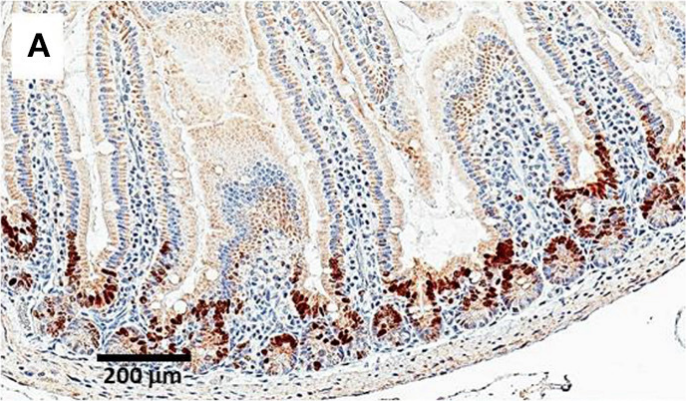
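This is a section of small intestine with its villi, the finger-like projections covered by a single row of tall columnar epithelial cells whose oval blue nuclei line up near the base of each cell. The cores of the villi hold looser tissue with scattered nuclei. At the bottom of the villi lie the crypts, small round glands seen in cross-section, and here many nuclei are stained a dark brown rather than blue. These brown nuclei are crowded along the crypts and the lowest part of the villi, while the upper villi show only blue nuclei. Beneath the crypts runs a thin band of muscle.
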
